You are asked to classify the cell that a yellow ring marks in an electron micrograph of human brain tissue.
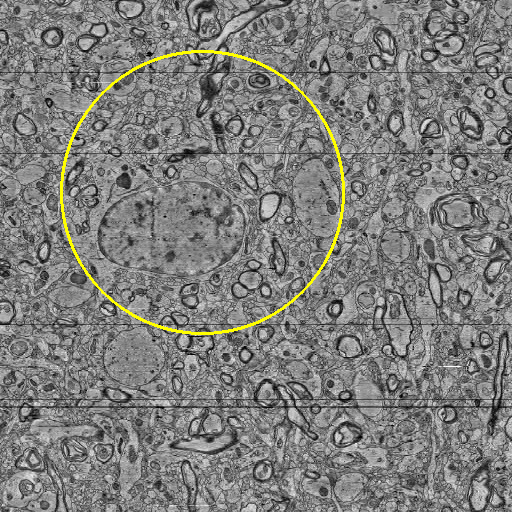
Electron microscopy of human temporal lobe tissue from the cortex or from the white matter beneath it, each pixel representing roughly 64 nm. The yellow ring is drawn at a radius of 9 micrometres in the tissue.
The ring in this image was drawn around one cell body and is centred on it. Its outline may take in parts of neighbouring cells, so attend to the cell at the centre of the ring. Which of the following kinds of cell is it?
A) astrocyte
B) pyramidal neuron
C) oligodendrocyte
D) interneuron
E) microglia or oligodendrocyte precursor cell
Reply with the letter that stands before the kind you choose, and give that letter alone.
E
